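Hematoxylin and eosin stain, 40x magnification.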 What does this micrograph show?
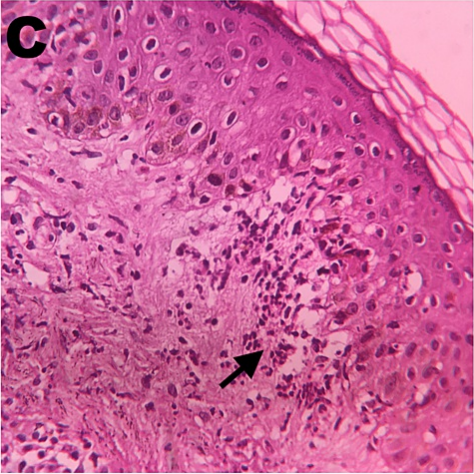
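Skin epidermis with polygonal keratinocytes bearing round nuclei and pink cytoplasm, capped on the upper right by a basket-weave stratum corneum. Near the epidermal base a dense cluster of small inflammatory cells with dark, lobed nuclei infiltrates among the keratinocytes and the underlying loose connective tissue, where small clear spaces are present. Some basal keratinocytes contain brown pigment.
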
